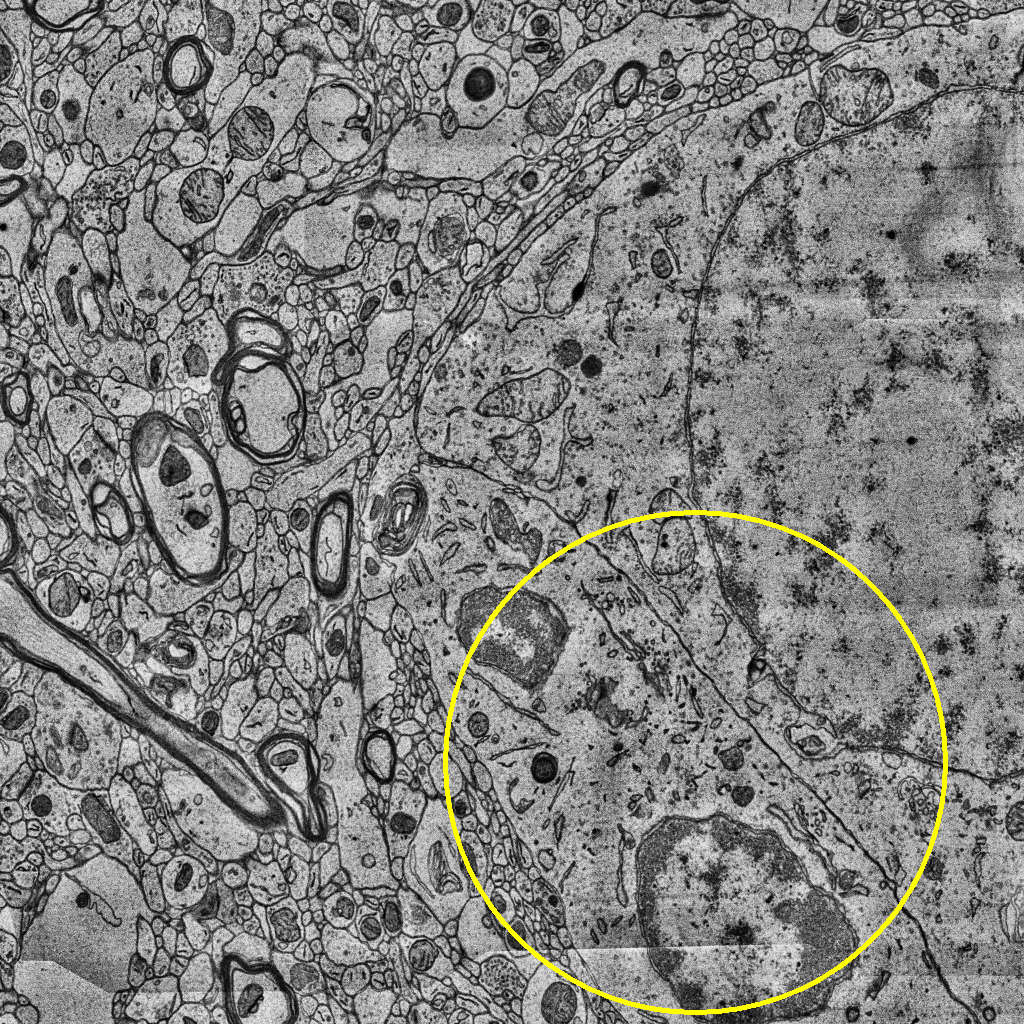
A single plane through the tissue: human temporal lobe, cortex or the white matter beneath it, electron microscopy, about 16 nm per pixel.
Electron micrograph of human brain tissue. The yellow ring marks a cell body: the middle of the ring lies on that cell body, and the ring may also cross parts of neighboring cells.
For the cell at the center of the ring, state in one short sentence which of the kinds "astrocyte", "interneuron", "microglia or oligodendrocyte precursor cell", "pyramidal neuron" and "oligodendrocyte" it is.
This ring's center lies on a microglial cell or oligodendrocyte precursor cell.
